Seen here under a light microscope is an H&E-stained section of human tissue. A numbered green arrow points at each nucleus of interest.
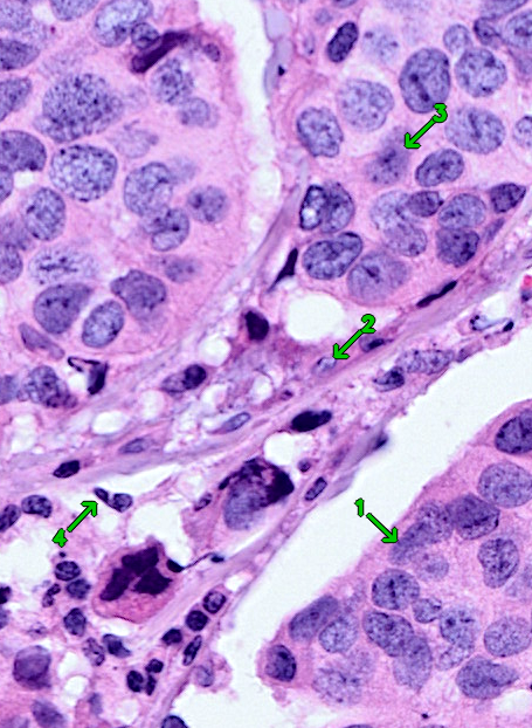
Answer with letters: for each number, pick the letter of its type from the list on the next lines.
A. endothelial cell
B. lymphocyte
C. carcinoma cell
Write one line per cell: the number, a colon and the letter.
1: C
2: A
3: C
4: B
